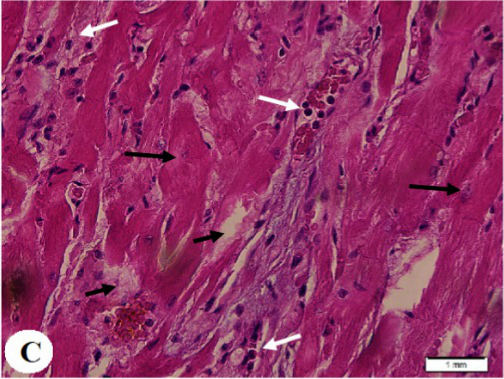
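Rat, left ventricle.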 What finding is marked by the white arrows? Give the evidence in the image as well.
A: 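Inflammatory cell infiltration. Small round dark-purple nuclei are clustered between the muscle fibers. These round cells lie beside a vessel packed with red blood cells.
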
